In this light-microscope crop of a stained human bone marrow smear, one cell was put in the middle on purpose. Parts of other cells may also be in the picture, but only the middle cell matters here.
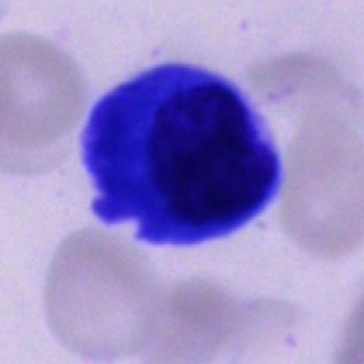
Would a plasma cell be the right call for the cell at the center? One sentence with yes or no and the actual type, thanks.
Yes, it is a plasma cell that occupies the centre of the crop.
